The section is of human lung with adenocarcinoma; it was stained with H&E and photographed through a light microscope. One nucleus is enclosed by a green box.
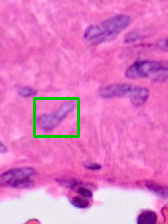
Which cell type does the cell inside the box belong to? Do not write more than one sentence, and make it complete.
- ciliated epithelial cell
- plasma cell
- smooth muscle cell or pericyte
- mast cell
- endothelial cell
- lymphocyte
With respect to cell type, the cell inside the box is a smooth muscle cell or pericyte.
